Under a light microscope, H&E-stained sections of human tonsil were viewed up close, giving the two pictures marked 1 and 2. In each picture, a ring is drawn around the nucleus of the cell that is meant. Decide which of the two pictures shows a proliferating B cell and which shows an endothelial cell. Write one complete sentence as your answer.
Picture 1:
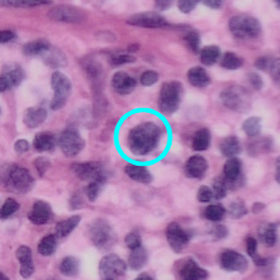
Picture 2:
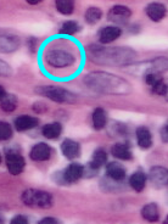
Picture 1 shows a proliferating B cell and picture 2 shows an endothelial cell.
